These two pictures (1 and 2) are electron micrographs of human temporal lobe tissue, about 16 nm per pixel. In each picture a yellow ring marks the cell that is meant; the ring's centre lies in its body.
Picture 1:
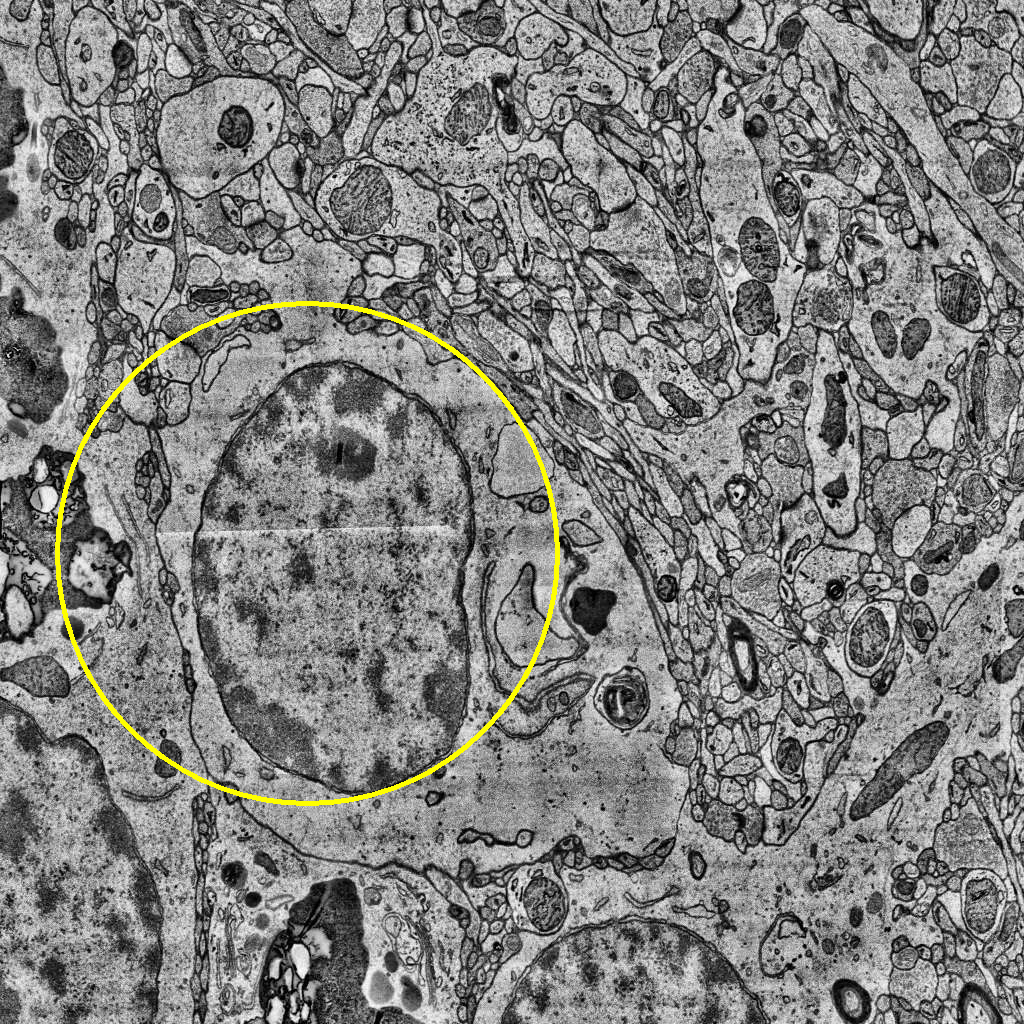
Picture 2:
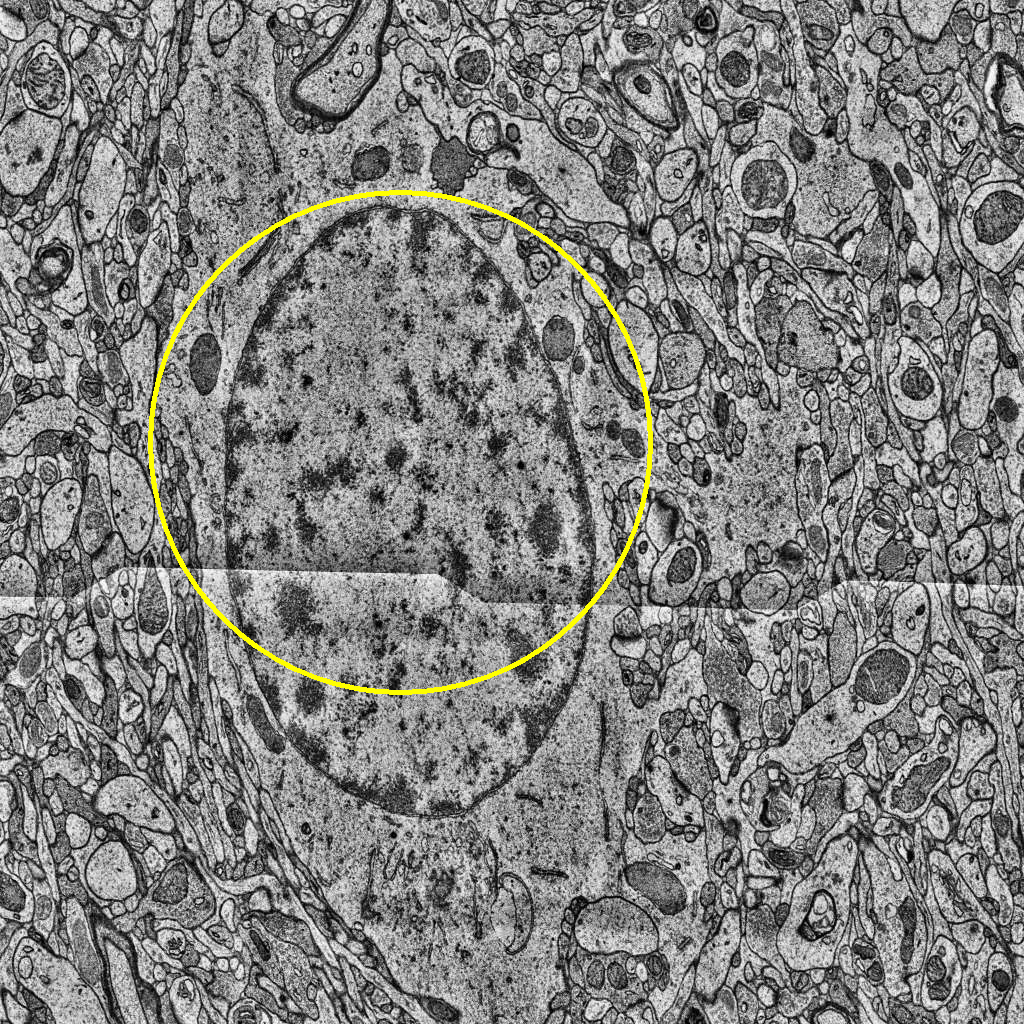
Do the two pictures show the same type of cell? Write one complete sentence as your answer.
Yes, they are the same type: both are astrocytes.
